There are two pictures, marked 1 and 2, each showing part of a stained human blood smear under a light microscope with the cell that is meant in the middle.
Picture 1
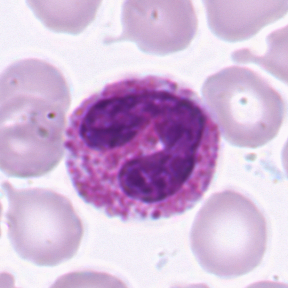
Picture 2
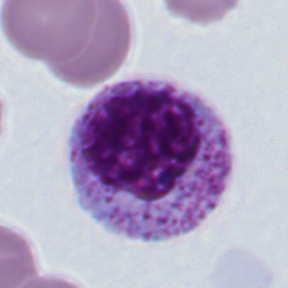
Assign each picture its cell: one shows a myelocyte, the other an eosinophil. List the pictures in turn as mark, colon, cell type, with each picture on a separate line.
1: eosinophil
2: myelocyte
